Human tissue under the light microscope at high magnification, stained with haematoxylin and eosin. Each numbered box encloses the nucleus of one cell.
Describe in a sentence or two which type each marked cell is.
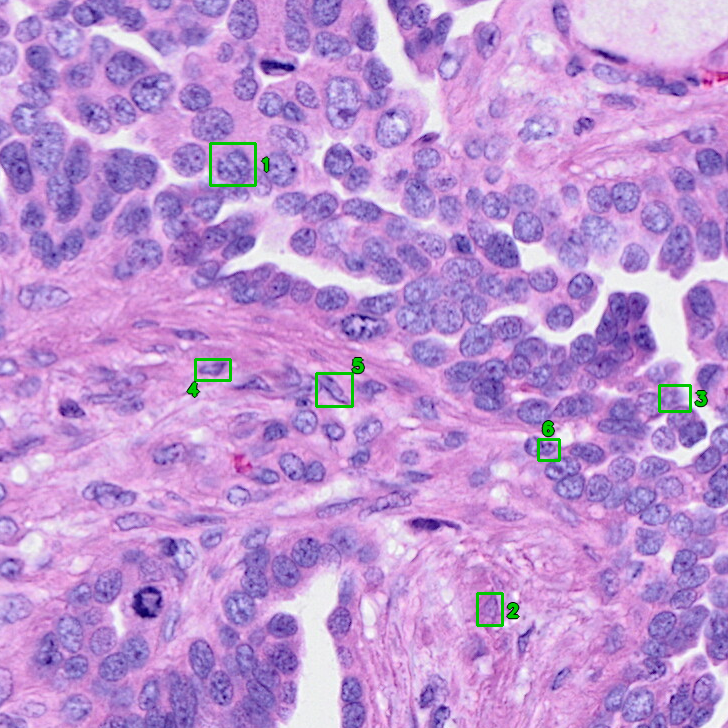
Cell 1 is a carcinoma cell, cell 2 is a fibroblast, cell 3 is a carcinoma cell, cell 4 is a fibroblast, cell 5 is a fibroblast and cell 6 is a macrophage or monocyte.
